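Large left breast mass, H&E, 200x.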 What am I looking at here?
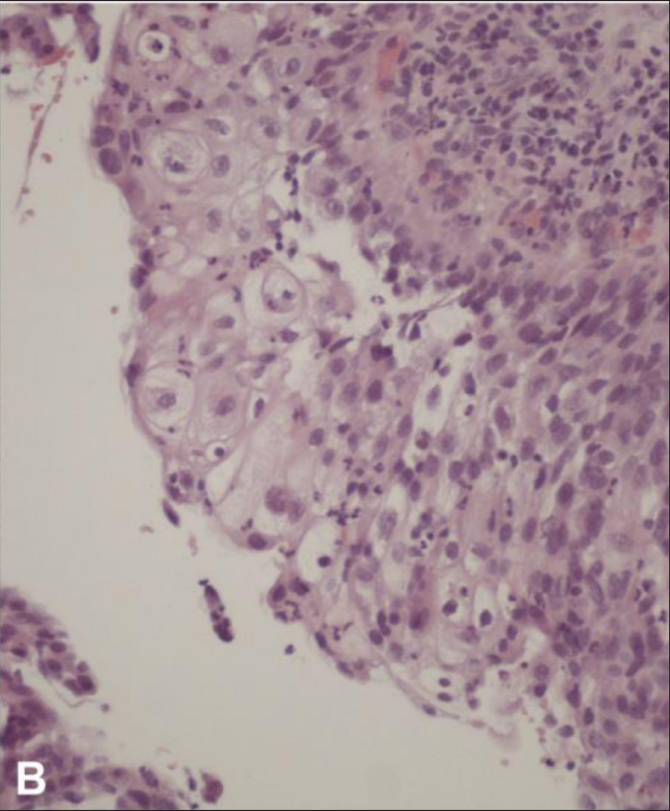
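The cells have abundant pale pink cytoplasm and distinct cell borders. Their nuclei are oval to round, variable in size, some enlarged. Several cells near the surface are rounded and set apart, with a clear space around the nucleus and a crisp outer membrane. Toward the upper right, a dense crowd of small, dark, round nuclei lies among the epithelial cells and in the tissue beneath, consistent with inflammatory cells.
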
